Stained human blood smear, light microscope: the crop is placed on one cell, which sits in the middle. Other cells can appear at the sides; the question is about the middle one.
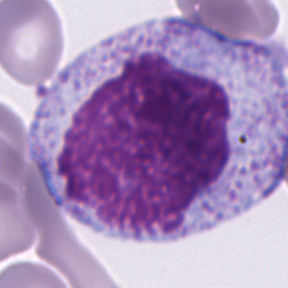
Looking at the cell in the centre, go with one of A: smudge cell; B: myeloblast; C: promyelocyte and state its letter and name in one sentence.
The cell in the middle is a promyelocyte, and that makes option C correct.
